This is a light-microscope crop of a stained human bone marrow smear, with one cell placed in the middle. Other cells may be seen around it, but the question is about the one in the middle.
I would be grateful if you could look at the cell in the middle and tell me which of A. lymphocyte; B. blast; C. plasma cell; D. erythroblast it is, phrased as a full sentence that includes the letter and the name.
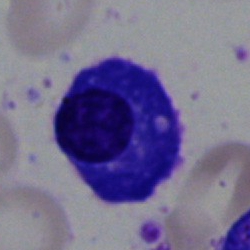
The central cell of the crop is a plasma cell, which makes C the correct option.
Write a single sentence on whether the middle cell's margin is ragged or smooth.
The cell margin is rough and uneven, either ragged or drawn into projections.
